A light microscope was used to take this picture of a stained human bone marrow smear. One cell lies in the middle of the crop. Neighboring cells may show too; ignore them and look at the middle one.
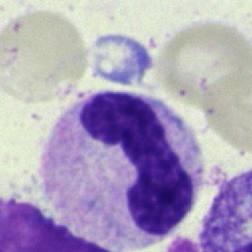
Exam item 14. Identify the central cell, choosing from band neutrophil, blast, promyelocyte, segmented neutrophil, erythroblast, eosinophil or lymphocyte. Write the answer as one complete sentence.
Seen at the centre of the crop is a band neutrophil.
